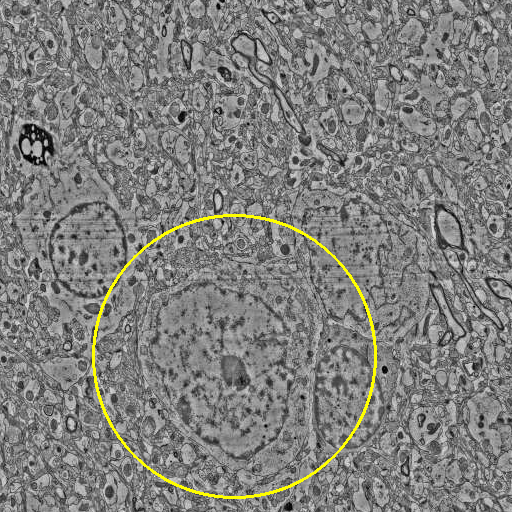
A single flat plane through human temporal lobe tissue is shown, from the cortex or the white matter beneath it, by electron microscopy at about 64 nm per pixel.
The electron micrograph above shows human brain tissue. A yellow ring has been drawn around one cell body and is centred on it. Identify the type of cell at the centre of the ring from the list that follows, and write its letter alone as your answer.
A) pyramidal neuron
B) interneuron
B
